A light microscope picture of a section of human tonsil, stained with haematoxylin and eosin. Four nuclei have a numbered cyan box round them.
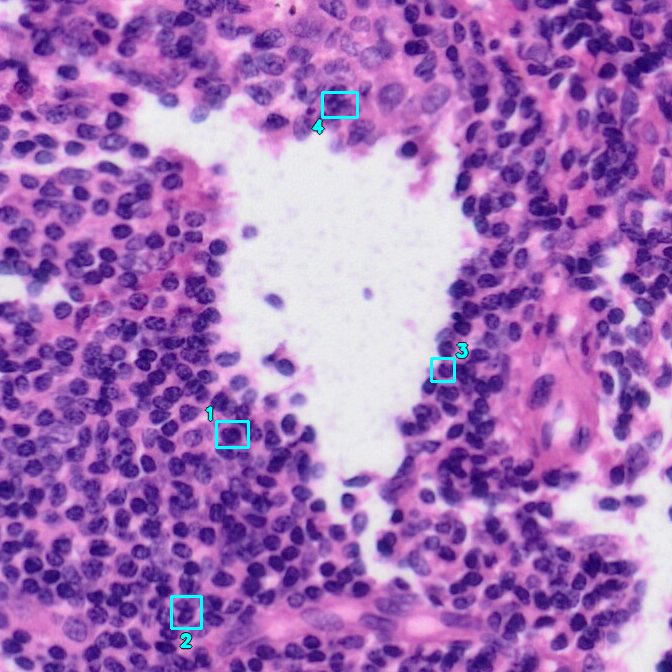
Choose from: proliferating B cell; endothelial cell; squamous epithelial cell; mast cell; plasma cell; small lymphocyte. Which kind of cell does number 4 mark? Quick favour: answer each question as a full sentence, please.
Among the marked nuclei, number 4 belongs to a proliferating B cell.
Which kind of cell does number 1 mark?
The cell numbered 1 represents a small lymphocyte.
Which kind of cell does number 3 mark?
Heads up, the cell numbered 3 is a small lymphocyte.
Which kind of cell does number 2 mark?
Cell 2, among those numbered, is a small lymphocyte.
